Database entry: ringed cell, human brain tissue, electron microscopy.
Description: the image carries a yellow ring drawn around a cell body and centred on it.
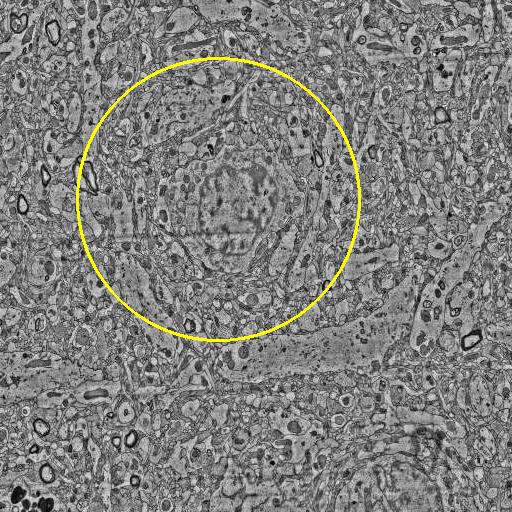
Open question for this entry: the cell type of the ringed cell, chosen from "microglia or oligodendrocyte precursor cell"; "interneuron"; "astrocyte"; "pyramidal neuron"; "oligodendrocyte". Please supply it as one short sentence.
The ringed cell is an interneuron.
